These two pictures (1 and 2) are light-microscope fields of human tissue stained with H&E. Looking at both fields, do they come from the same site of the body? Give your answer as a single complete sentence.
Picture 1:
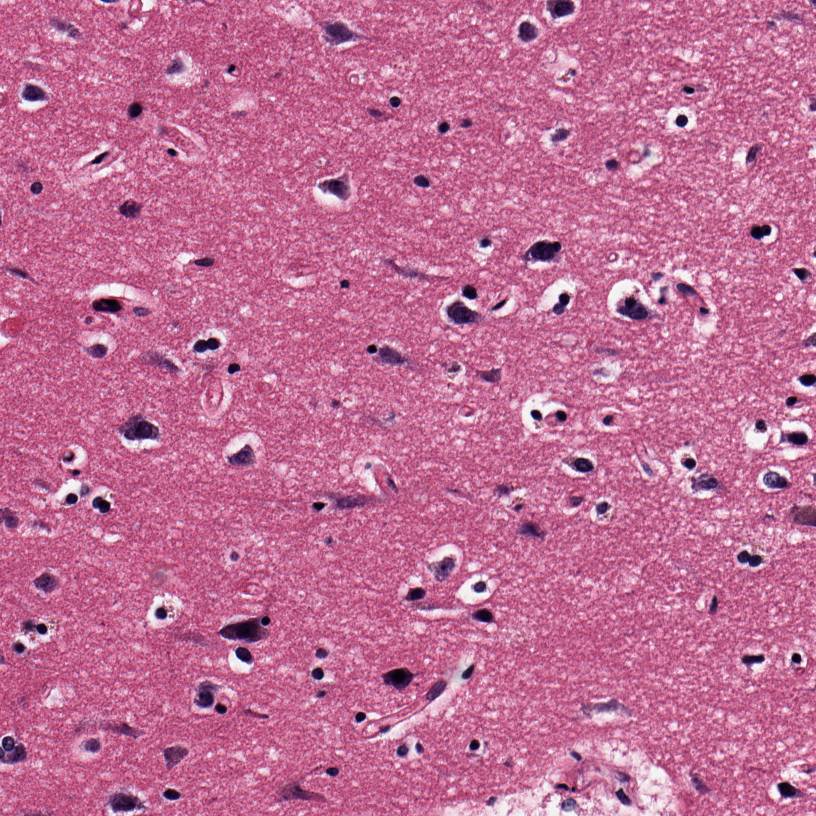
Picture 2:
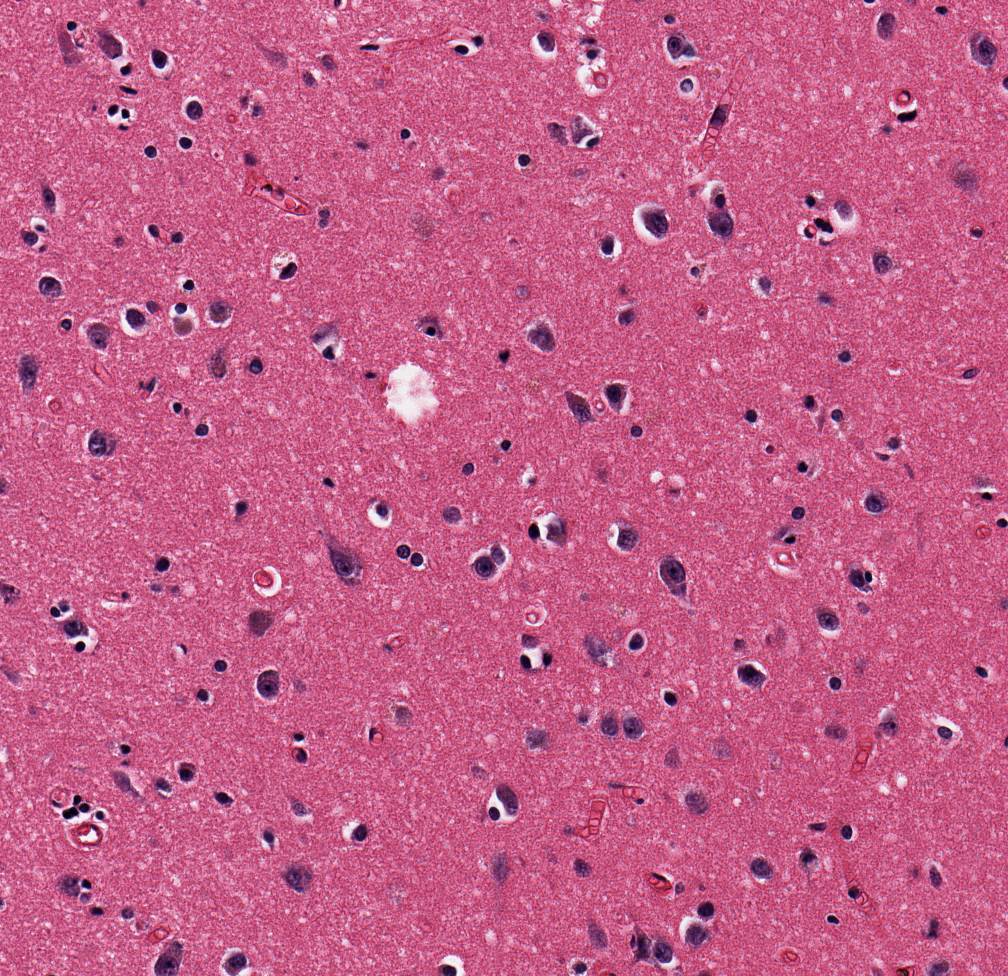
Yes, they come from the same site of the body: both come from the cerebral cortex.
